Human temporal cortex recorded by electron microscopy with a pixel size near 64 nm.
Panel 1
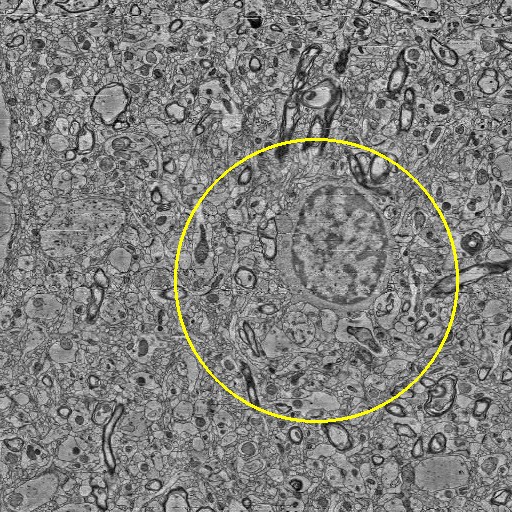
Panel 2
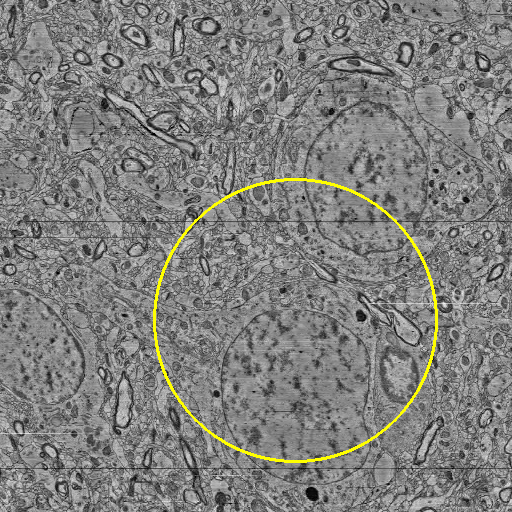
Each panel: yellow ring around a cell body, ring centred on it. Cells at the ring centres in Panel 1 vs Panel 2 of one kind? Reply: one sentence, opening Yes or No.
No, Panel 1 and Panel 2 have cells of two kinds at the ring centres.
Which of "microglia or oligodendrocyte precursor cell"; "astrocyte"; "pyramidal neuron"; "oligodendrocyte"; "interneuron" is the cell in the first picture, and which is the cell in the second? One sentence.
The two differ: the first cell is an oligodendrocyte and the second is a pyramidal neuron.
